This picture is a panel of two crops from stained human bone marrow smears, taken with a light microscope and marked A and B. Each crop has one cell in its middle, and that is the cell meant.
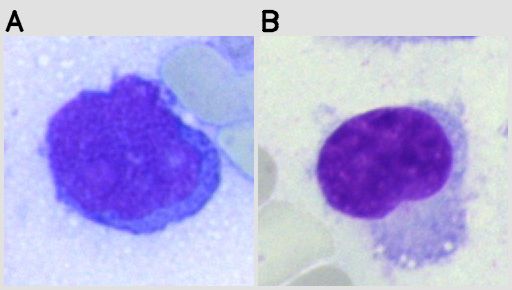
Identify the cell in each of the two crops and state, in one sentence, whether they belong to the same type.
No, crop A matches a blast and crop B matches a hairy cell.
